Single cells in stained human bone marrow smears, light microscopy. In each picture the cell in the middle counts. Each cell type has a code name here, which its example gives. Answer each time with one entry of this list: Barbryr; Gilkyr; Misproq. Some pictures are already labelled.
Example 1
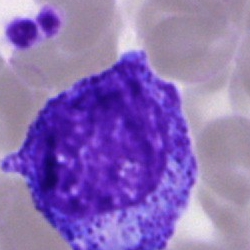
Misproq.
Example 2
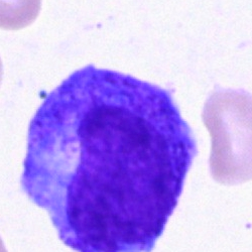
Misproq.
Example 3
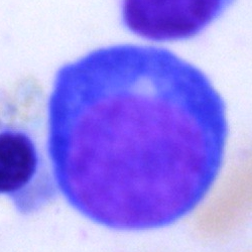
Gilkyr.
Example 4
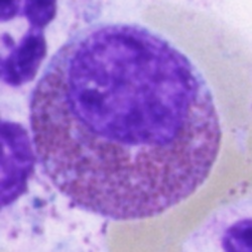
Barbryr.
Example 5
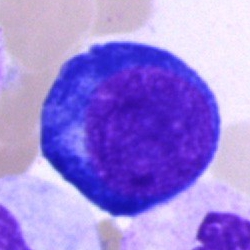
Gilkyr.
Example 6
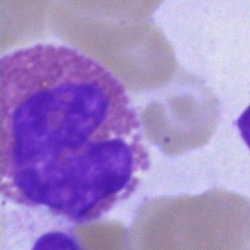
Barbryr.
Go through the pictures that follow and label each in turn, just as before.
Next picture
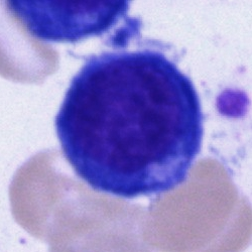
Gilkyr.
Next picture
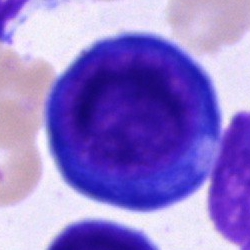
Gilkyr.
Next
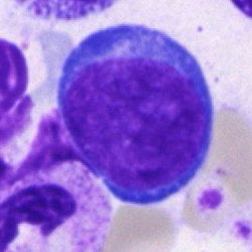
Gilkyr.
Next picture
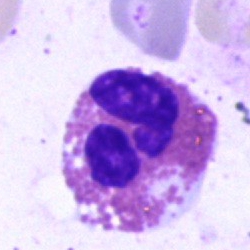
Barbryr.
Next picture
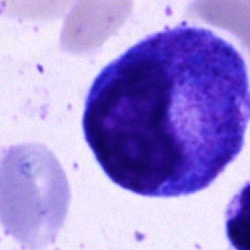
Misproq.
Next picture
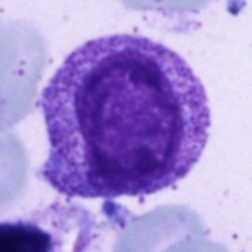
Misproq.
